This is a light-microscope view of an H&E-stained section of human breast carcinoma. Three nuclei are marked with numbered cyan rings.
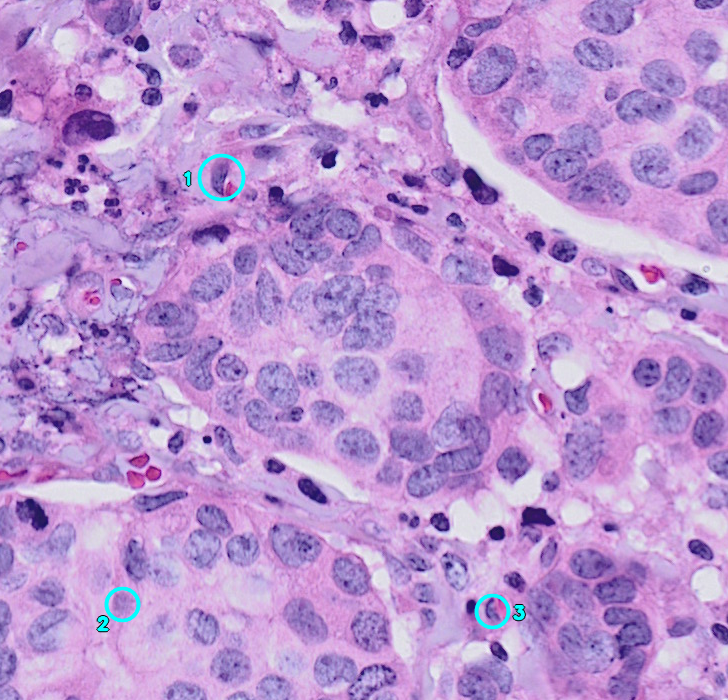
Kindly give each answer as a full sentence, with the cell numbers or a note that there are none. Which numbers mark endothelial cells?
Cells 1 and 3 are of one type, namely endothelial cells.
